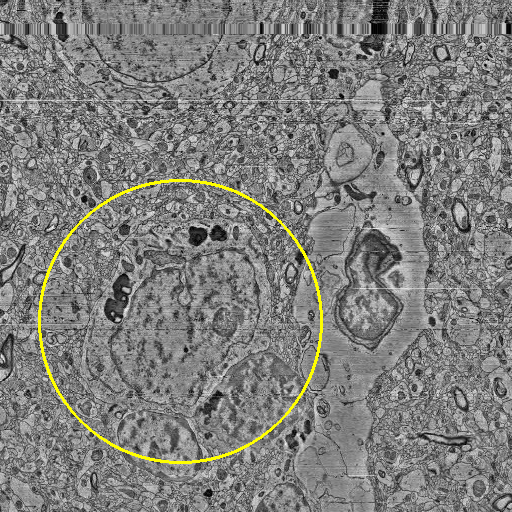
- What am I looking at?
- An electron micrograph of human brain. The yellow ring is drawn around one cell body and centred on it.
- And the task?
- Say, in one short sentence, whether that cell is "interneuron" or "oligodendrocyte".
The cell in the middle of the ring is an interneuron.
